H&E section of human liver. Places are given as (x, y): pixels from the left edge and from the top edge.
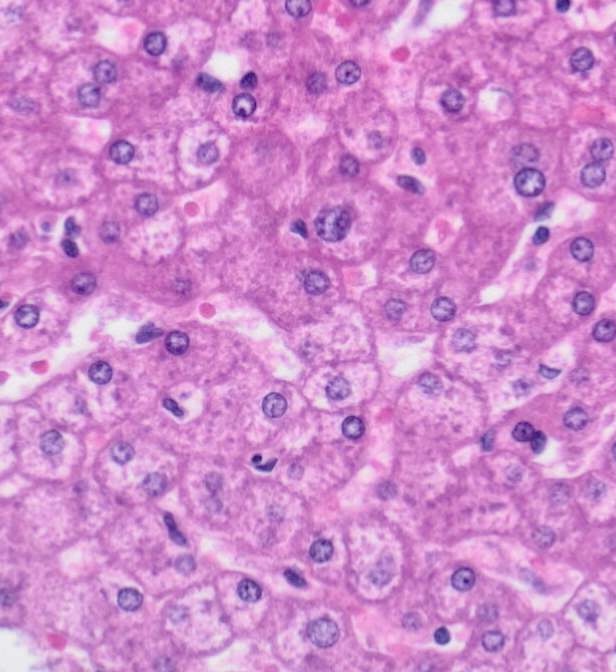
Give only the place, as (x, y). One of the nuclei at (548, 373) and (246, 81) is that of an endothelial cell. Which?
(548, 373)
